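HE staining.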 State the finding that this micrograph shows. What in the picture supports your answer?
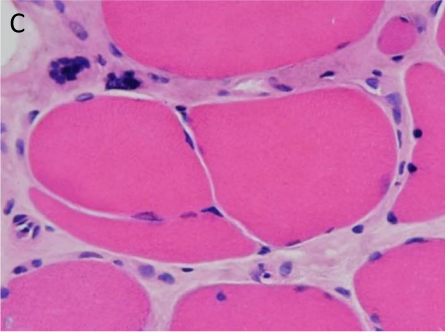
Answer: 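Fiber splitting. A large fiber is divided by thin clefts into several segments. The segments fit together within one outline.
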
